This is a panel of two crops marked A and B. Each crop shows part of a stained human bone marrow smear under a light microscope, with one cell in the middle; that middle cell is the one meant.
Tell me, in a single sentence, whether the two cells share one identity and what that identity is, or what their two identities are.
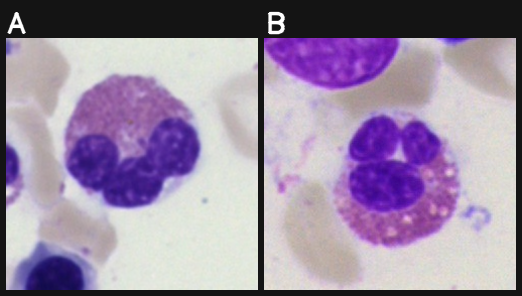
Yes, as shown in both crops, the central cells are eosinophils.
